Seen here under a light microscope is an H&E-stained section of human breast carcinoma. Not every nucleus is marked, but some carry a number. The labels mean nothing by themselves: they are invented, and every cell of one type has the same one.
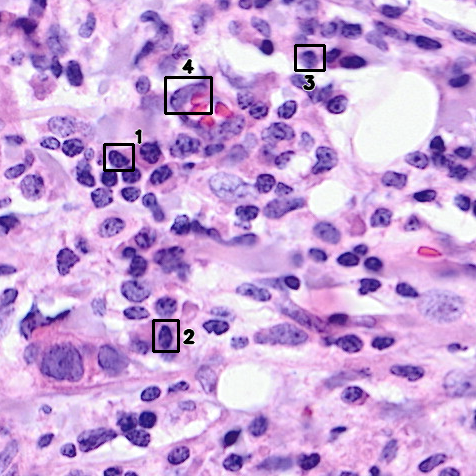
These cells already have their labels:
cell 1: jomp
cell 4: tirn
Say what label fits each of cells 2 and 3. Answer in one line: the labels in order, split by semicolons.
jomp; jomp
